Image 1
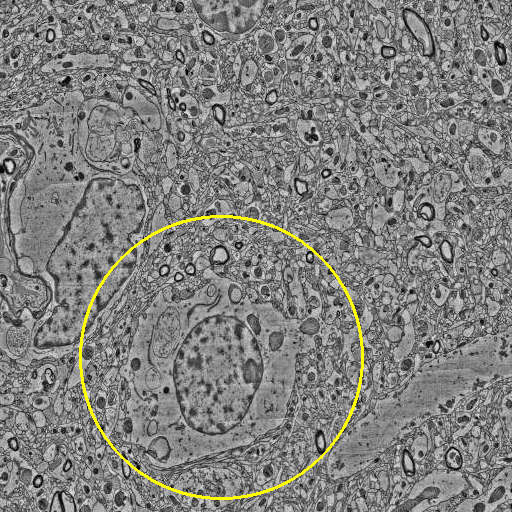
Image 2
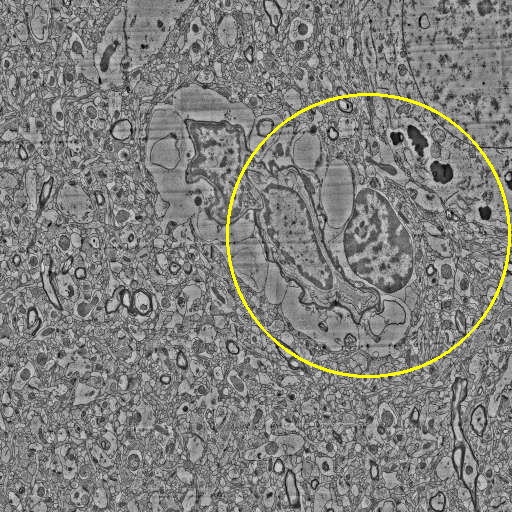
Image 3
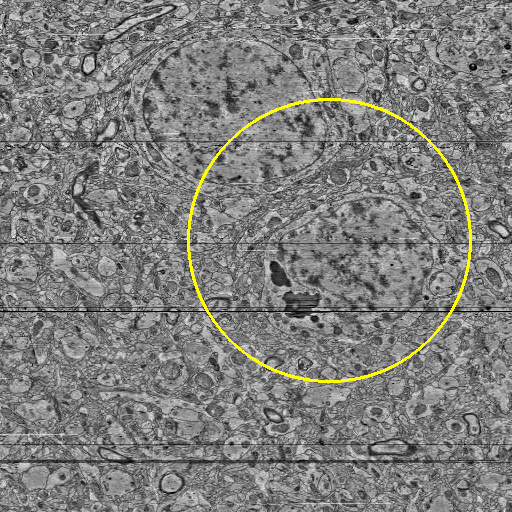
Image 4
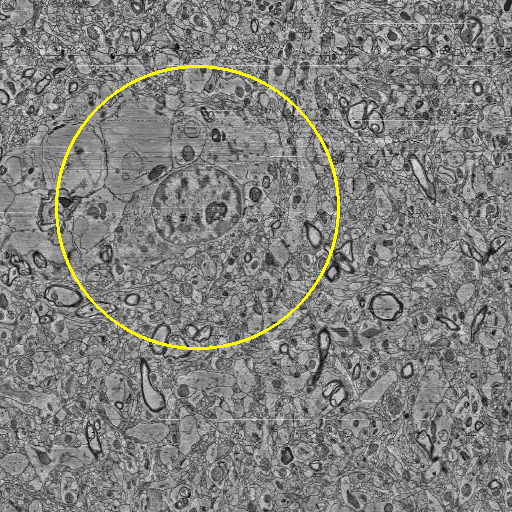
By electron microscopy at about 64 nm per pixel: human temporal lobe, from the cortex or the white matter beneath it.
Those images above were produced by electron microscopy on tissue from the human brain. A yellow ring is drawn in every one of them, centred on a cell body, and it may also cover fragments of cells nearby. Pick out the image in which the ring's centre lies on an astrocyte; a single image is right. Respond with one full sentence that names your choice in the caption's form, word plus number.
Image 1 is my choice: its ring is centred on the requested cell.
